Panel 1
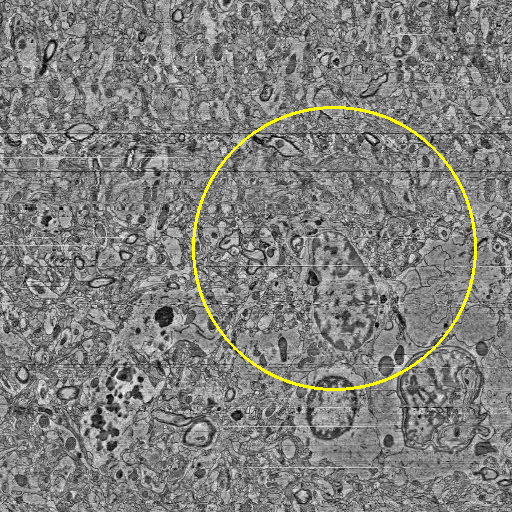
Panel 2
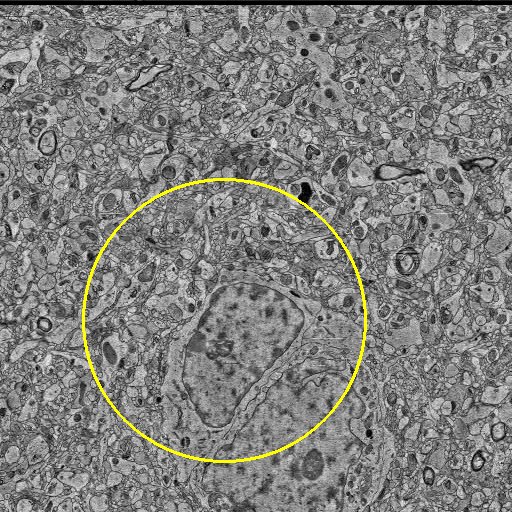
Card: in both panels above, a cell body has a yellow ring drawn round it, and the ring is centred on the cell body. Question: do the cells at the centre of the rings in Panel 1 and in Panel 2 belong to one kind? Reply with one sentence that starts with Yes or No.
Yes, the cells centred in the rings of Panel 1 and Panel 2 are one kind of cell.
